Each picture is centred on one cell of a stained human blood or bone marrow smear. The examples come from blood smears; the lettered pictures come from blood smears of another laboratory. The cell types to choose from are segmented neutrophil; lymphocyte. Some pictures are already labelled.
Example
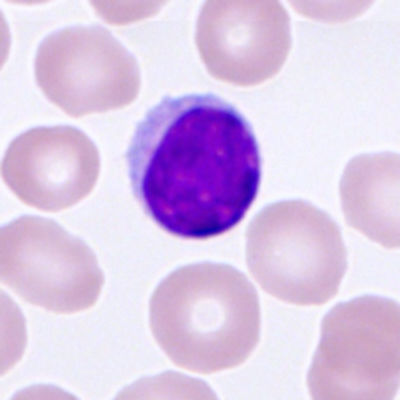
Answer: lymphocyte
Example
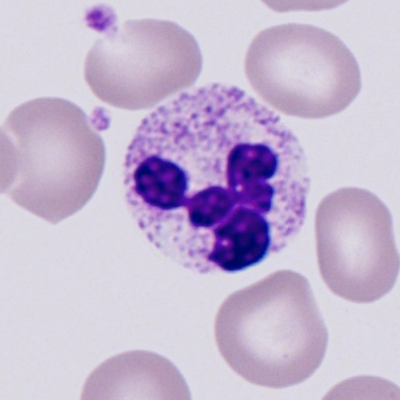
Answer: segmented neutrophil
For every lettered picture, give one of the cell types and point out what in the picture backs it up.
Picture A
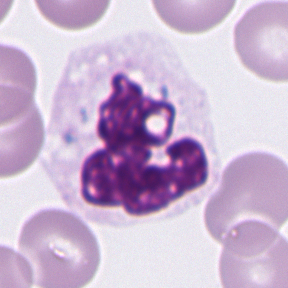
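segmented neutrophil. The cytoplasm is abundant and very pale lilac.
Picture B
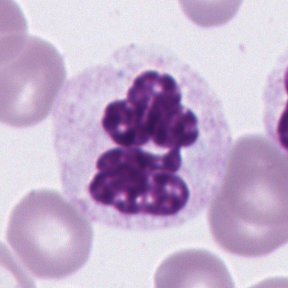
segmented neutrophil. The nucleus is split into more than three lobes.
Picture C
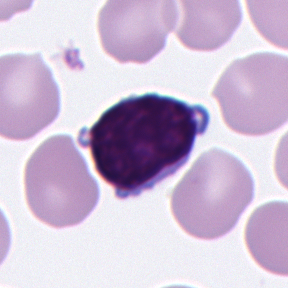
lymphocyte. The nucleus fills almost the whole cell.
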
